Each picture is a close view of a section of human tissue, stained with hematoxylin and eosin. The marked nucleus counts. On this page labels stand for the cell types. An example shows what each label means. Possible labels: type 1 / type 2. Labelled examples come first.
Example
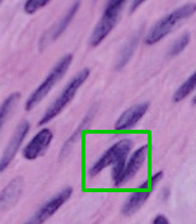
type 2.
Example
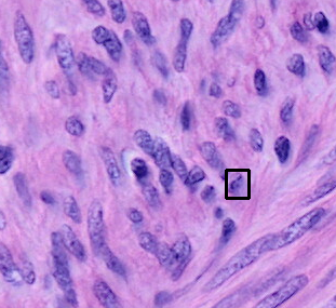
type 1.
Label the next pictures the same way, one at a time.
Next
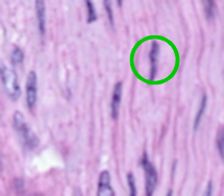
type 2.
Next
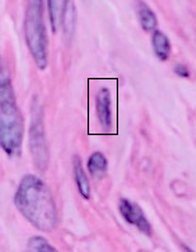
type 1.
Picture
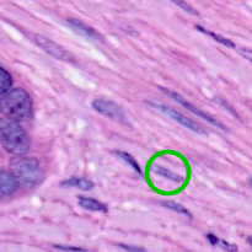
type 2.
